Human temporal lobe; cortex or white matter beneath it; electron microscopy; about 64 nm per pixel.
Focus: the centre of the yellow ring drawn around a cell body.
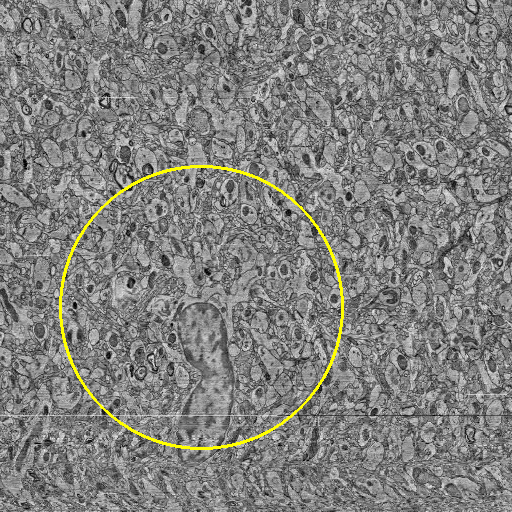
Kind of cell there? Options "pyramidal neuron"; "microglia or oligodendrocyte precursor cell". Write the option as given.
microglia or oligodendrocyte precursor cell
